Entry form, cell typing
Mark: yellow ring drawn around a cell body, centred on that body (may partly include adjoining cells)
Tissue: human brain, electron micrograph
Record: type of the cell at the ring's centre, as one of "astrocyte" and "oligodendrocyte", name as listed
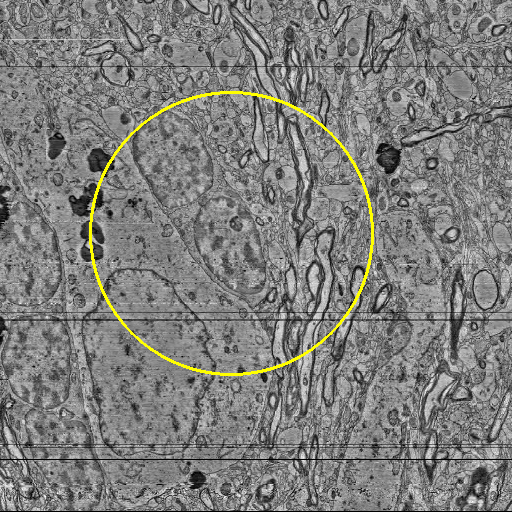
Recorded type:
oligodendrocyte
